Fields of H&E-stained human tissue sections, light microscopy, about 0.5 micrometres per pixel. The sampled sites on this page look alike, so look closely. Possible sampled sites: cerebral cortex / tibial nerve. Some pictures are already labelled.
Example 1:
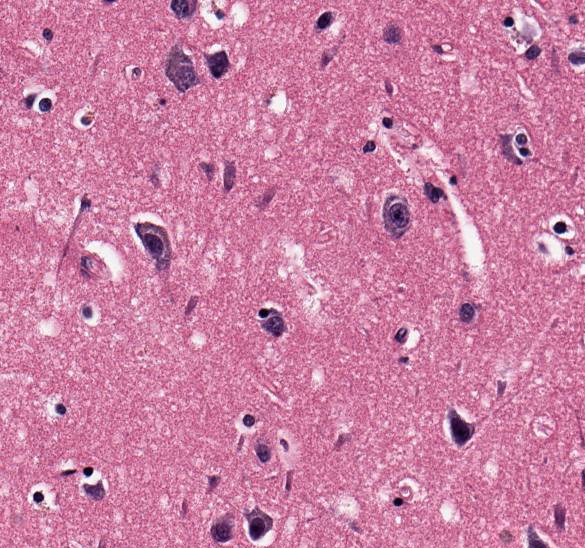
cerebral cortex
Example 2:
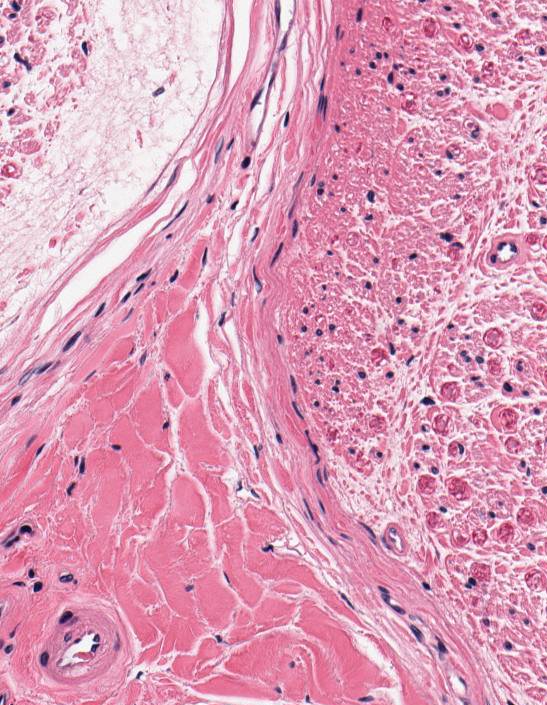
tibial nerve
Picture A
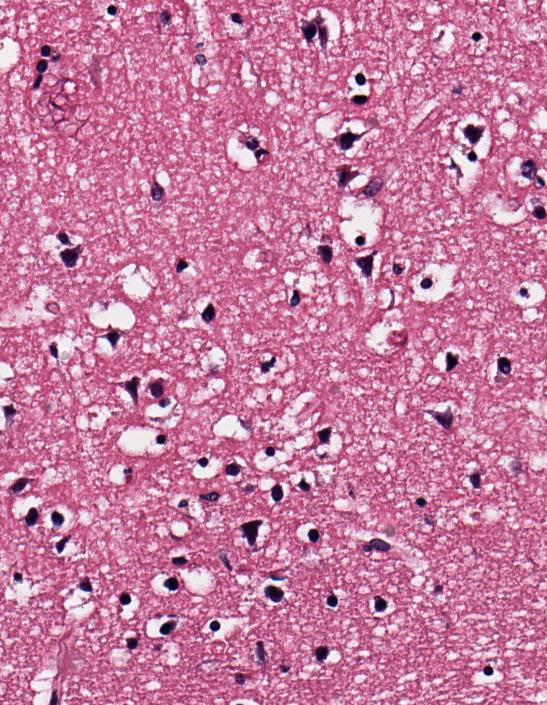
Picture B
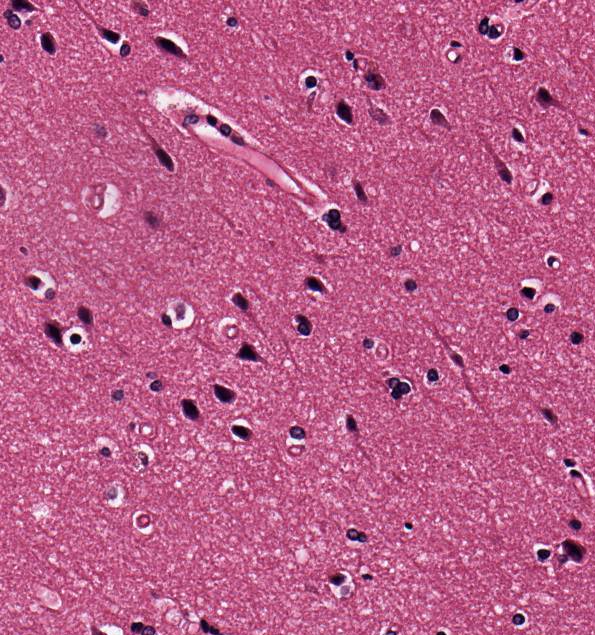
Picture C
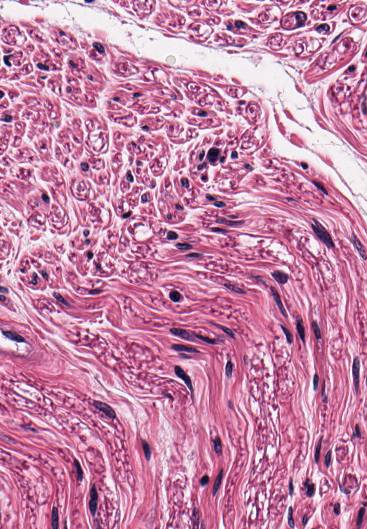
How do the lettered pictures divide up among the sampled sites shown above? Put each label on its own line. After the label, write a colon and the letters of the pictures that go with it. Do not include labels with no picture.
cerebral cortex: A, B
tibial nerve: C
